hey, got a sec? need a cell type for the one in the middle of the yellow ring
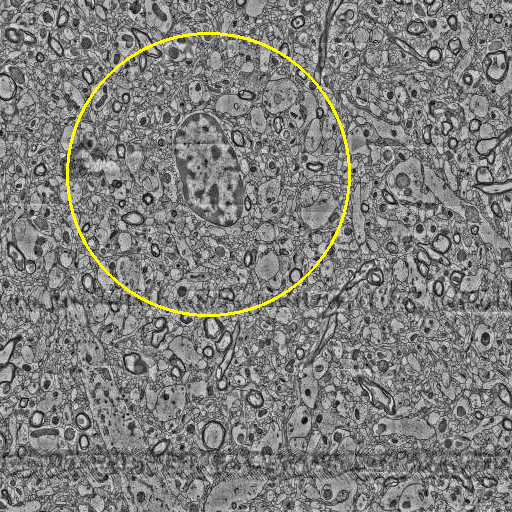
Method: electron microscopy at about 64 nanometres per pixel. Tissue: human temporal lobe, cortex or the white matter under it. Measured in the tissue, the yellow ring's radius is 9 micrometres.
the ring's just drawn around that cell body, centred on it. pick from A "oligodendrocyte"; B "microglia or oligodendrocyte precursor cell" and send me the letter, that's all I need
B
